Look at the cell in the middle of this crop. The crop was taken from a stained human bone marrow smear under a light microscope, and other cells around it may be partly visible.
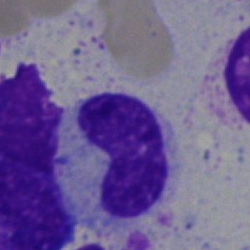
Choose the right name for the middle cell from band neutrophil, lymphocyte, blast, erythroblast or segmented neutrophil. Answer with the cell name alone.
band neutrophil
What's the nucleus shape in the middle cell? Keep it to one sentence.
A single compact nucleus is present, shaped round, oval or like a kidney.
